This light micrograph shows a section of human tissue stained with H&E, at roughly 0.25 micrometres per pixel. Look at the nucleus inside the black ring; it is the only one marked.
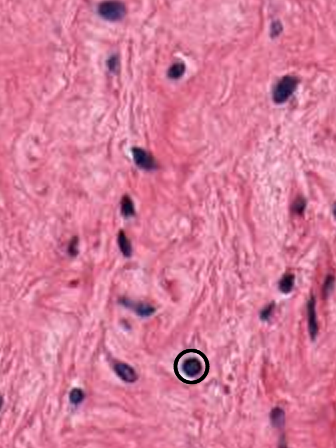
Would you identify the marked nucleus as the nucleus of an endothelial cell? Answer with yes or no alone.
no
